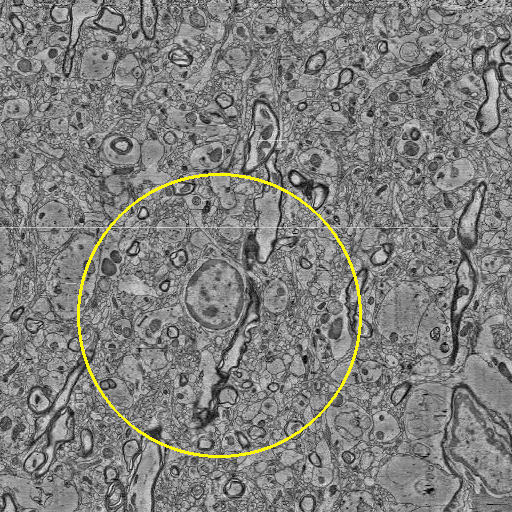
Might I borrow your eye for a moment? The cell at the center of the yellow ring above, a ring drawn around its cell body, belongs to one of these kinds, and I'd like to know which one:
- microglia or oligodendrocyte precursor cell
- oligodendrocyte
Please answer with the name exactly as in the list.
microglia or oligodendrocyte precursor cell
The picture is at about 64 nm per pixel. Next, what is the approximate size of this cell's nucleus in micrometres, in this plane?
Roughly 5 by 4 micrometres is the size of the nucleus in this plane.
